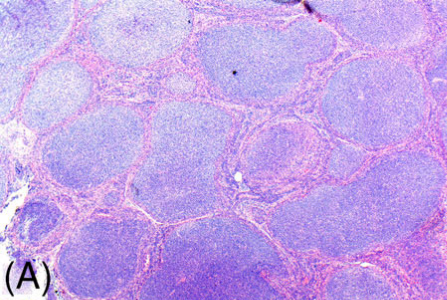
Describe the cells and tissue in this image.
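Lymph node whose architecture is effaced by a purely nodular lymphoma. Closely packed, rounded, blue follicles of varying size fill the whole field. Thin pink fibrous bands run between them, and no normal node tissue remains between the nodules.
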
